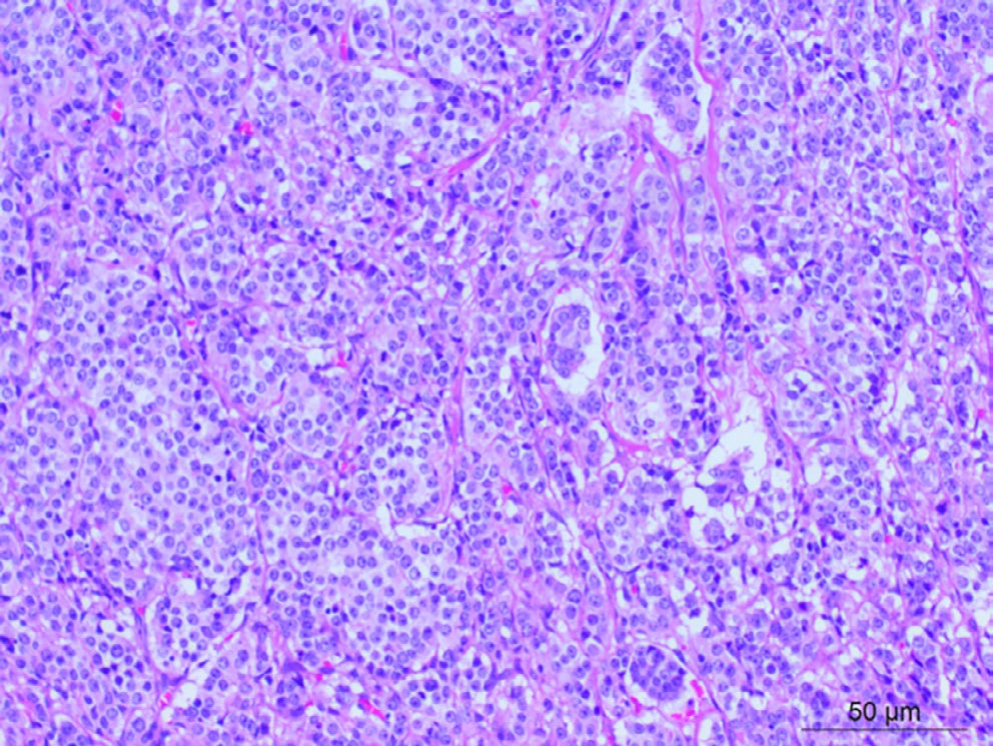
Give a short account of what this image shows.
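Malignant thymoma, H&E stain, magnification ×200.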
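This is a tumour made mostly of plump epithelial cells packed into rounded nests and lobules, each outlined by thin strands of pink fibrous tissue. The cells are polygonal, with a moderate amount of pale pink to clear cytoplasm and fairly distinct cell borders. Their nuclei are round to oval and vesicular, with open, pale chromatin, and many show a small distinct nucleolus. Scattered among them are a few smaller cells with darker, denser nuclei. Here and there small clear spaces lie within the nests, and the fibrous septa carry a few thin vessels with red blood cells.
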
